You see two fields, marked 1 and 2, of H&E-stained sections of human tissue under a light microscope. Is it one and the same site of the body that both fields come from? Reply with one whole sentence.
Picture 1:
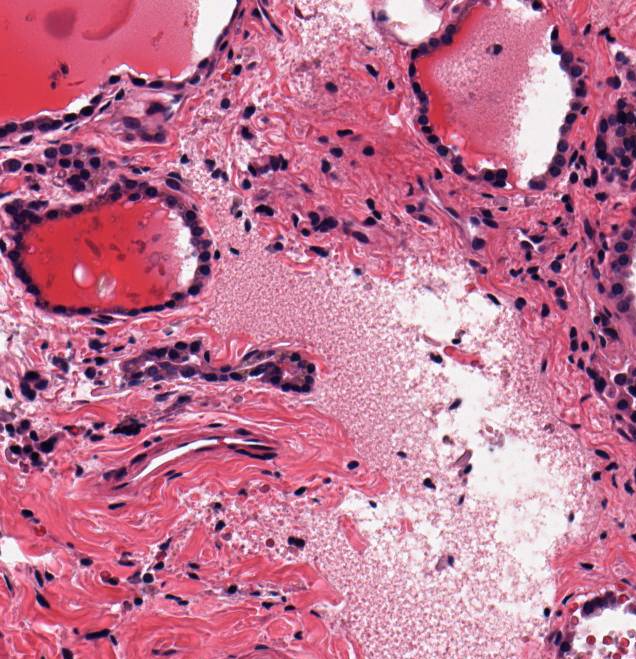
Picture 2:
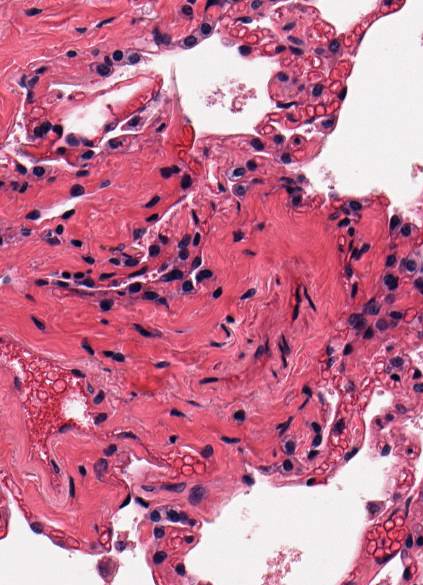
No: picture 1 comes from the thyroid, but picture 2 comes from the lung.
